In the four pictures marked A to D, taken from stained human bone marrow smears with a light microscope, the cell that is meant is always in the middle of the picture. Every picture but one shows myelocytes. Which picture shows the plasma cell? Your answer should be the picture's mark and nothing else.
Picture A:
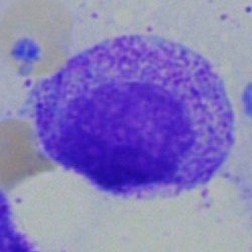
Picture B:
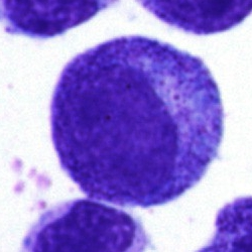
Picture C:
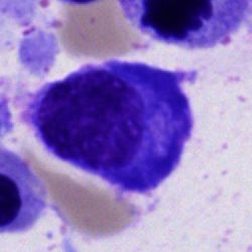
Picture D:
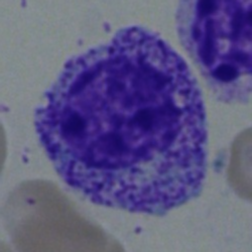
C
